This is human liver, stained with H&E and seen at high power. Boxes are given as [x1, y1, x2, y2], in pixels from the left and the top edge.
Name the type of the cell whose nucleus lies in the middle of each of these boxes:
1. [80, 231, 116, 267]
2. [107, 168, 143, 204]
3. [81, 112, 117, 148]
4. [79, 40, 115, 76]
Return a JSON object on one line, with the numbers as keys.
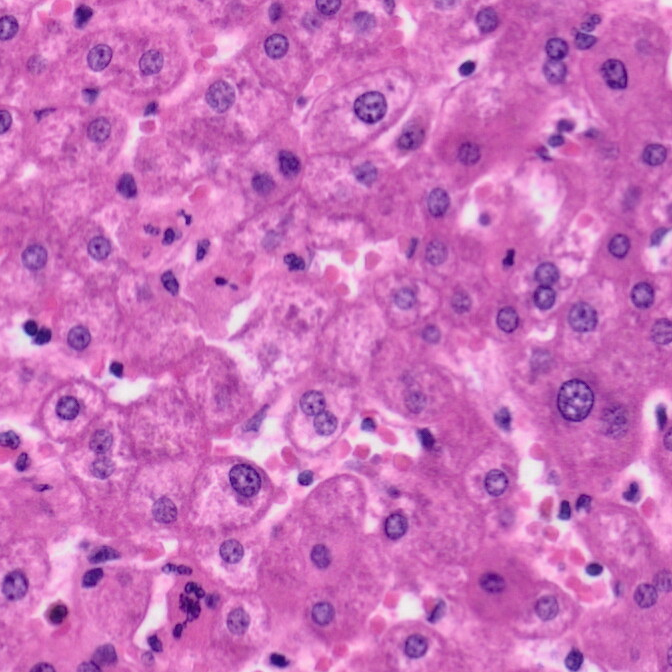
{"1": "hepatocyte", "2": "fibroblast or stellate cell", "3": "hepatocyte", "4": "hepatocyte"}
